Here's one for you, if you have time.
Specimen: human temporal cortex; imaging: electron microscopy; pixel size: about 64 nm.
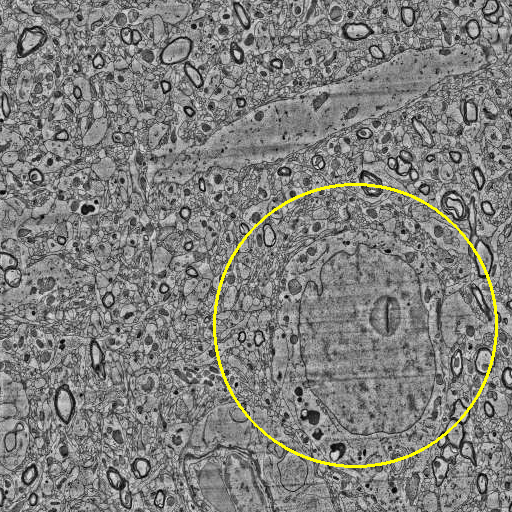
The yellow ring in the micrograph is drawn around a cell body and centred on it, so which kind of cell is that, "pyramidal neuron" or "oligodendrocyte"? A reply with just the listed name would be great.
pyramidal neuron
